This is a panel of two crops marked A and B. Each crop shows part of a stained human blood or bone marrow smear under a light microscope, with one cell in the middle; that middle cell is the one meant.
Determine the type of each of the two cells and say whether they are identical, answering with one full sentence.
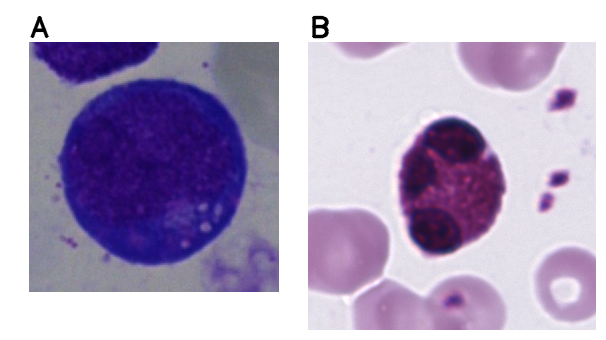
No, whereas crop A shows a promyelocyte, crop B shows an eosinophil.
